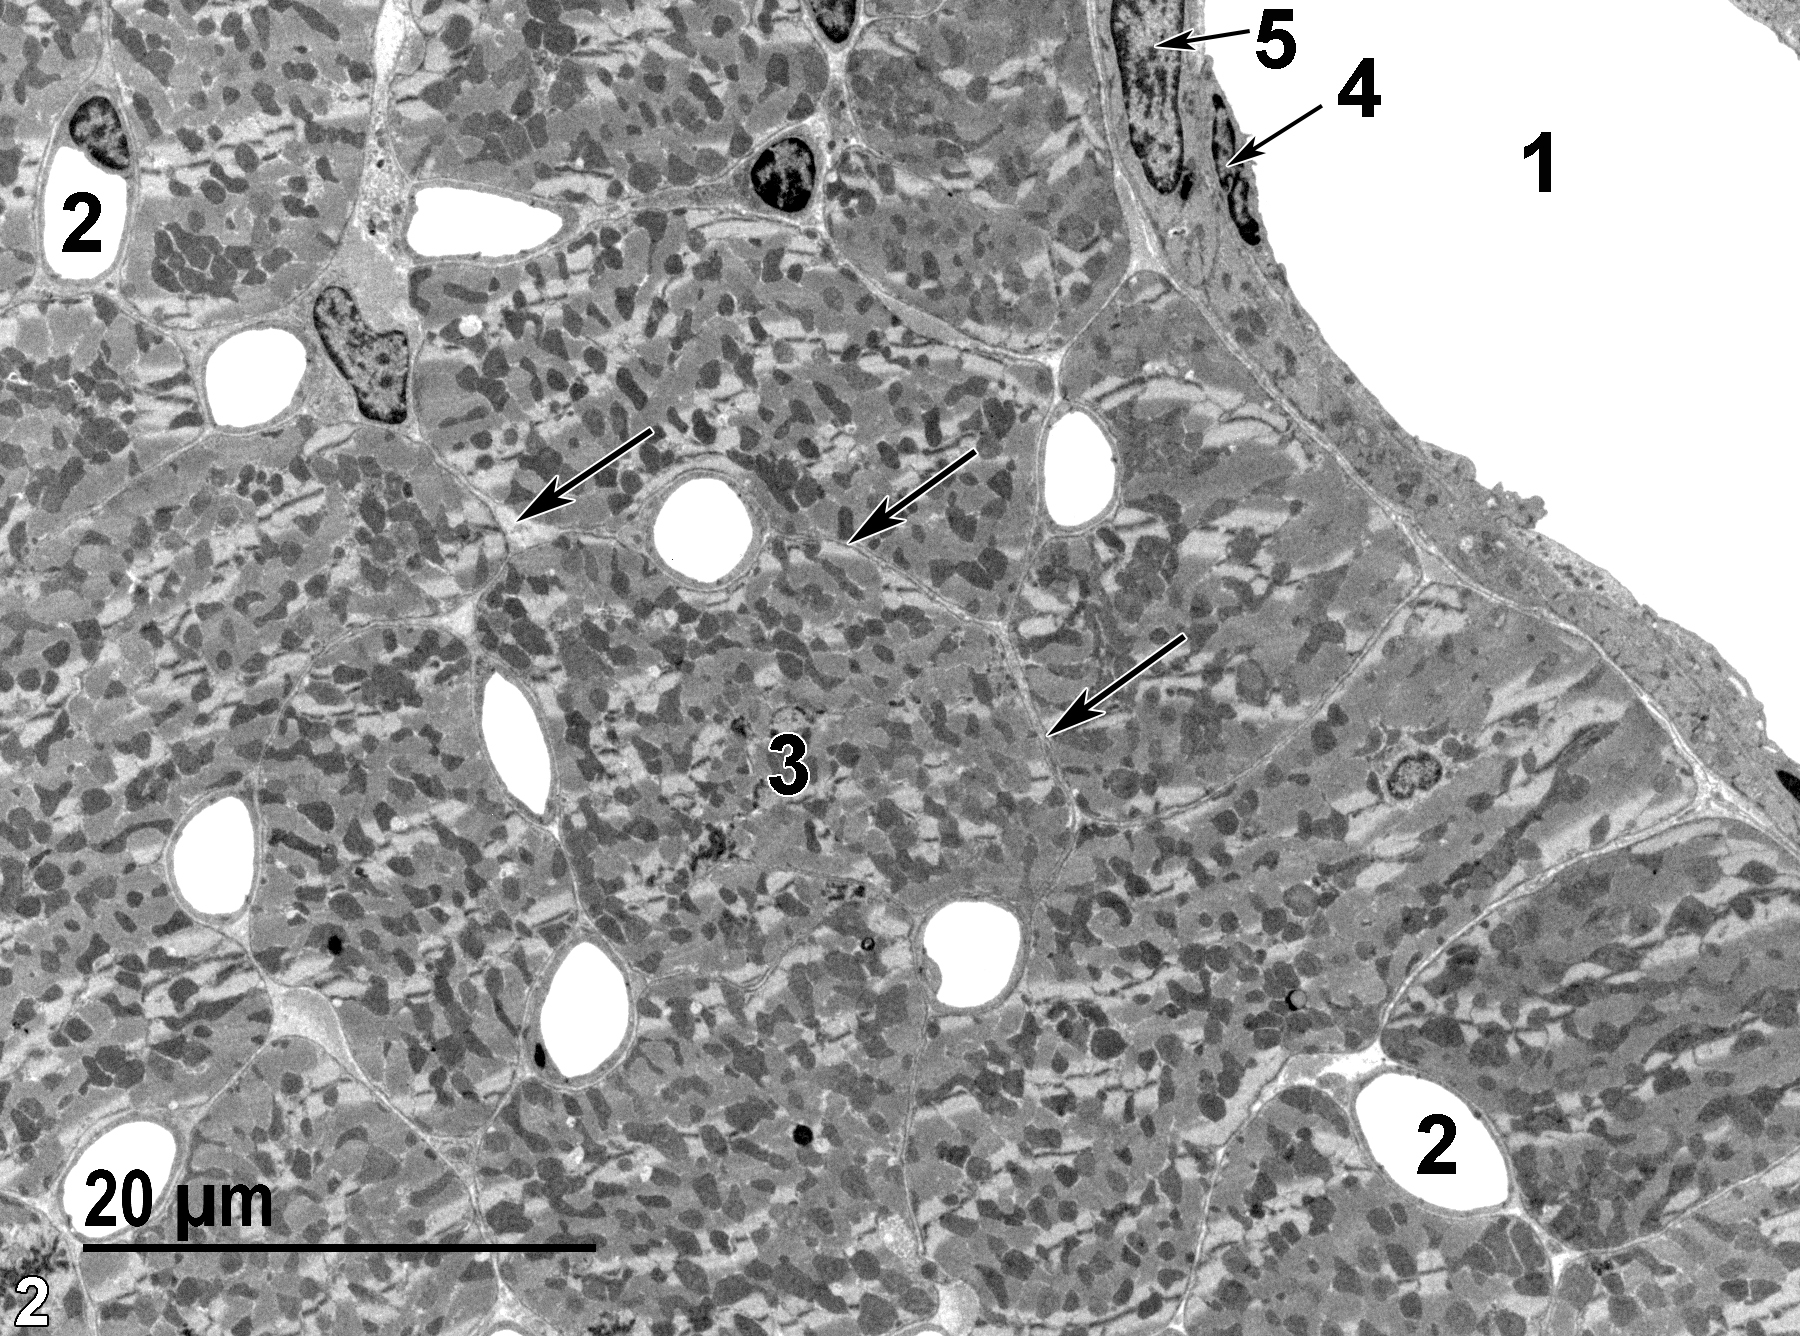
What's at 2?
Capillaries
